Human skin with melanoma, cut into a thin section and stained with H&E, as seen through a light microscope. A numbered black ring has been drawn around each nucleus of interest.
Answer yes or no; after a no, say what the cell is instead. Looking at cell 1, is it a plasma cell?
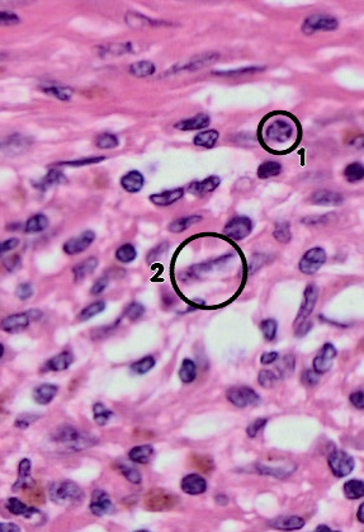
Yes.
